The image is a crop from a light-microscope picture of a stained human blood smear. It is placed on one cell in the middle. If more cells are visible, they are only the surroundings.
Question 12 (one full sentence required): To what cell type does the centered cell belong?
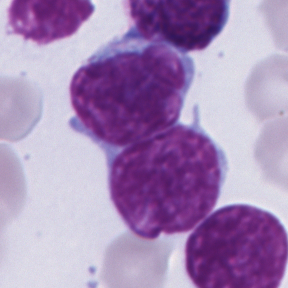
The crop shows a myeloblast in its centre.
